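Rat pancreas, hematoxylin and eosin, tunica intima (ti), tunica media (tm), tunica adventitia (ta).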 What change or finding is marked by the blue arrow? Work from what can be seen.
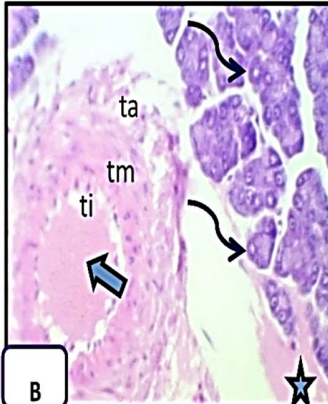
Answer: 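Hemolyzed blood cells. The vessel lumen is filled with homogeneous pink material. No intact red cell outlines are distinct in the lumen.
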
